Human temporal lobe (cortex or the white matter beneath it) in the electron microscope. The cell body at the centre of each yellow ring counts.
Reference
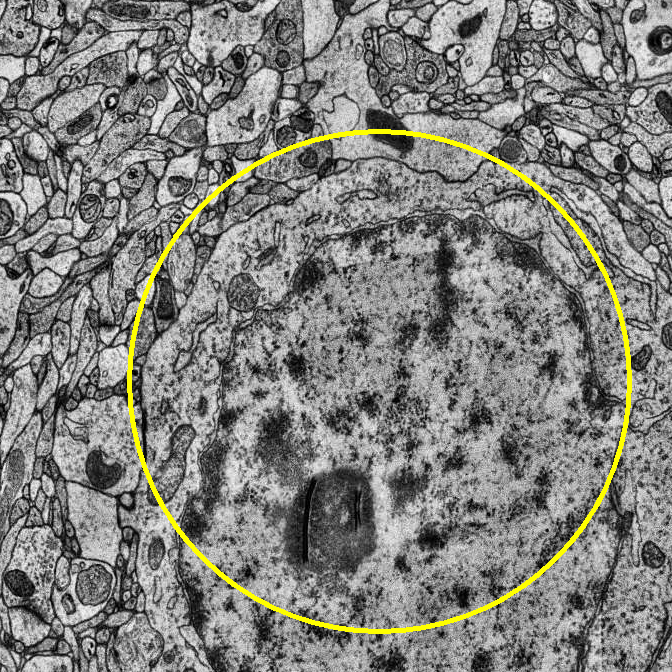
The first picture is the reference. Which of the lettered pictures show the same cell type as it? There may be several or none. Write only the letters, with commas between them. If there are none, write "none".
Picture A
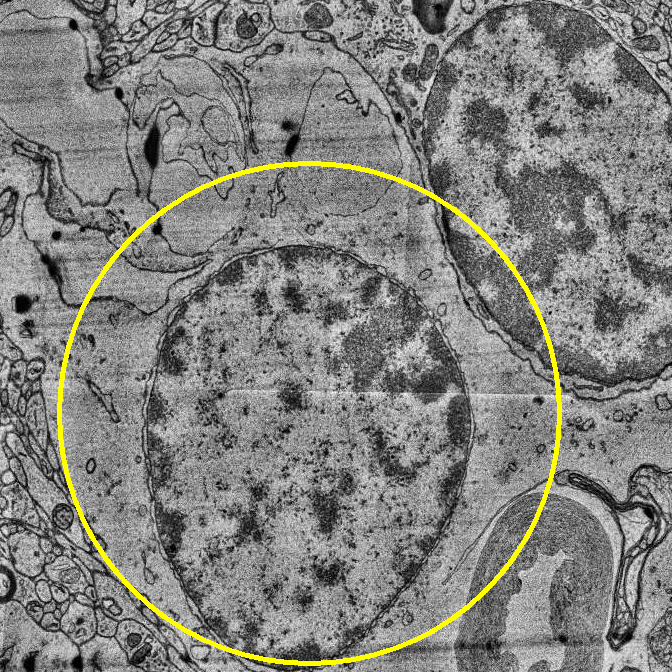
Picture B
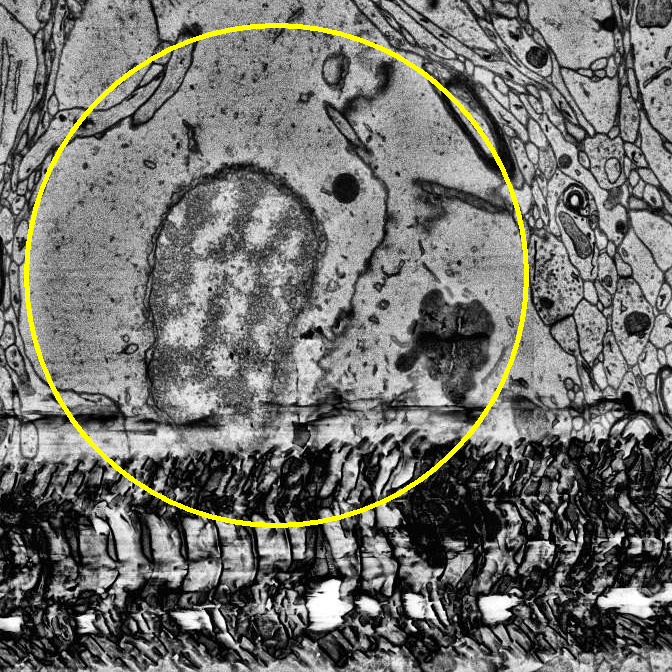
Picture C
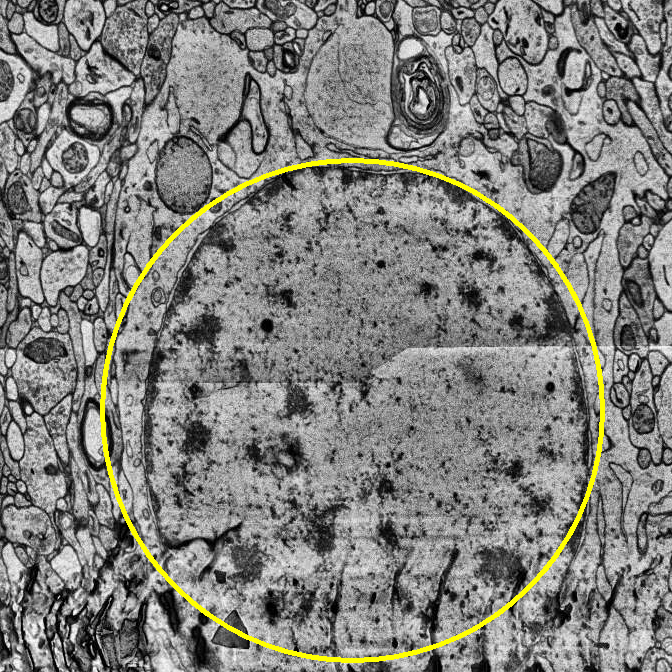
none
